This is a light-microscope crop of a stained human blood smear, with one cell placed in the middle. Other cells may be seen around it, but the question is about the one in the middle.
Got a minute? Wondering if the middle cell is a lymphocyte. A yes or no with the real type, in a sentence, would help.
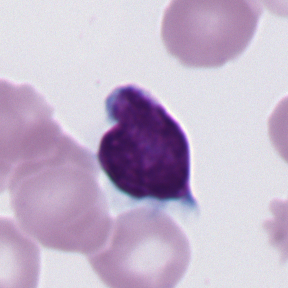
Yes, that is a lymphocyte in the middle of the crop.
